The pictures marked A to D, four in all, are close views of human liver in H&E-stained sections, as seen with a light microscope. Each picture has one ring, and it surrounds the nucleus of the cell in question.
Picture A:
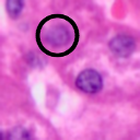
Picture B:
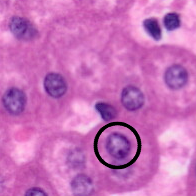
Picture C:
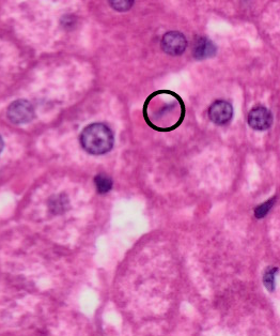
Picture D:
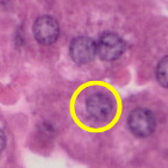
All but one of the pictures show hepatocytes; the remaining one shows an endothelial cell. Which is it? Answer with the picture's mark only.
C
